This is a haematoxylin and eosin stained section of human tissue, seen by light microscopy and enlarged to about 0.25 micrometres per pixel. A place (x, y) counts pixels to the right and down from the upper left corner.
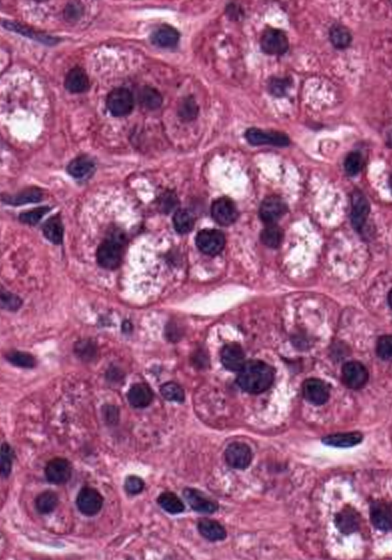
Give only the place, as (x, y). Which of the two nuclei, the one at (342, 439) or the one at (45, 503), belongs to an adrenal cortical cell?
(45, 503)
